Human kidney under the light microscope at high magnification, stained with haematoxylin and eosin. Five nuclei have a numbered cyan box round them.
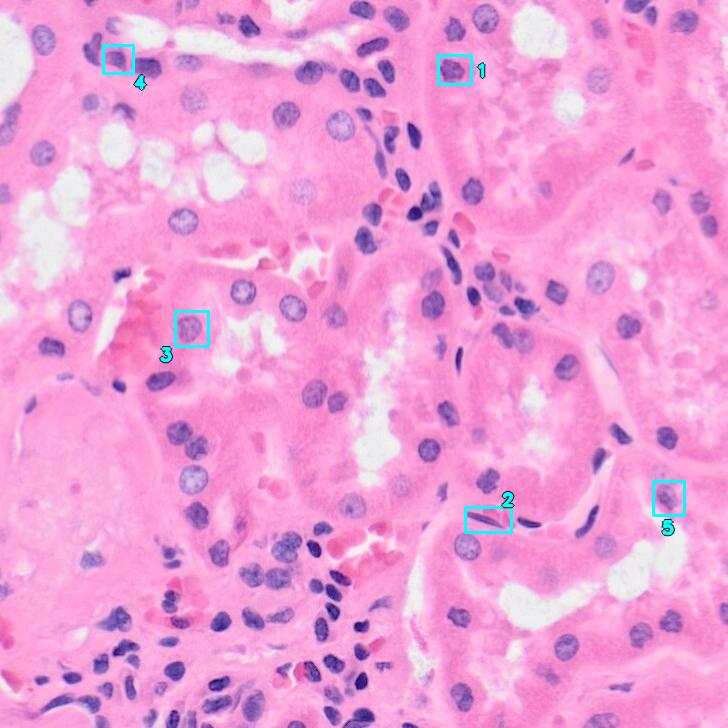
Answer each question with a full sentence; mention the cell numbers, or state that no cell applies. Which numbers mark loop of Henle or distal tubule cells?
The numbered cells, taken together, include no loop of Henle or distal tubule cells.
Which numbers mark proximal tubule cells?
Cells 1, 3 and 5 are recognised here as proximal tubule cells.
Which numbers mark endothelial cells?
Cell 2 is the only one of the numbered cells that is an endothelial cell.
